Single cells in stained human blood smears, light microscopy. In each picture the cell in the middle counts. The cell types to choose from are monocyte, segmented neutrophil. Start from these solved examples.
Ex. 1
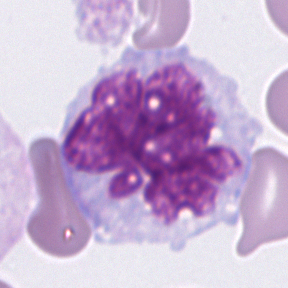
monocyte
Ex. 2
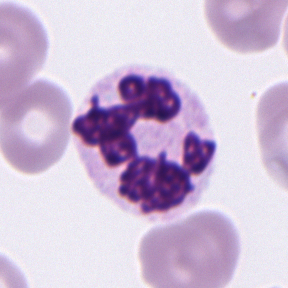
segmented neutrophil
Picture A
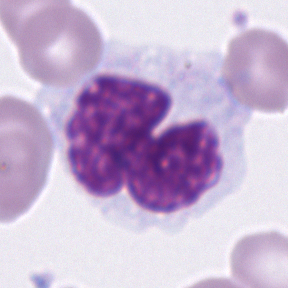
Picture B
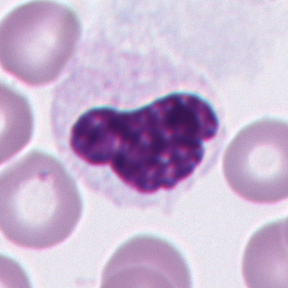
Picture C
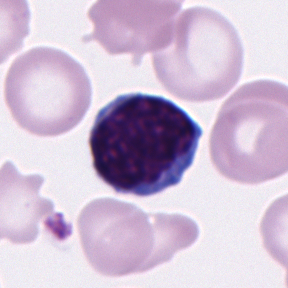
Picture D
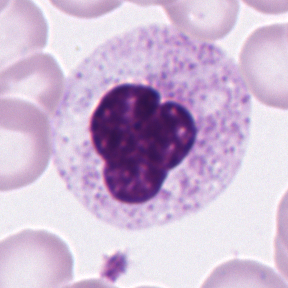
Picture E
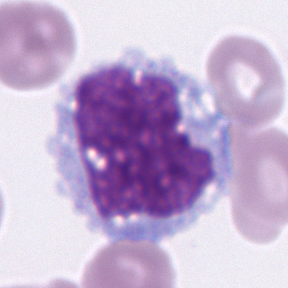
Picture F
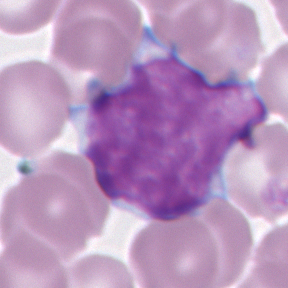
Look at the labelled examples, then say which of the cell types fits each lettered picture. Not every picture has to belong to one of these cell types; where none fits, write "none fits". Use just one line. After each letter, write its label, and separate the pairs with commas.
A monocyte, B segmented neutrophil, C none fits, D segmented neutrophil, E monocyte, F none fits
